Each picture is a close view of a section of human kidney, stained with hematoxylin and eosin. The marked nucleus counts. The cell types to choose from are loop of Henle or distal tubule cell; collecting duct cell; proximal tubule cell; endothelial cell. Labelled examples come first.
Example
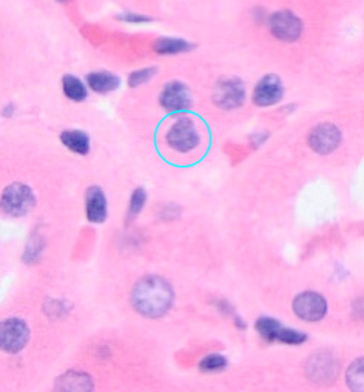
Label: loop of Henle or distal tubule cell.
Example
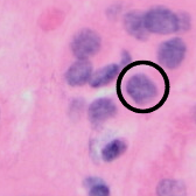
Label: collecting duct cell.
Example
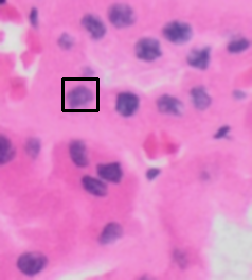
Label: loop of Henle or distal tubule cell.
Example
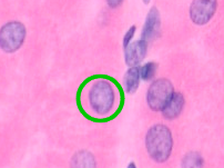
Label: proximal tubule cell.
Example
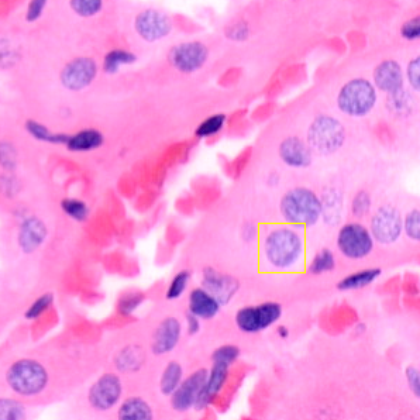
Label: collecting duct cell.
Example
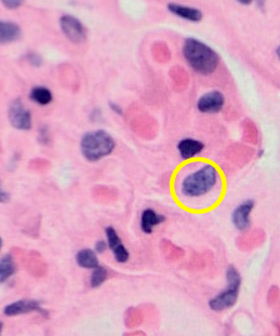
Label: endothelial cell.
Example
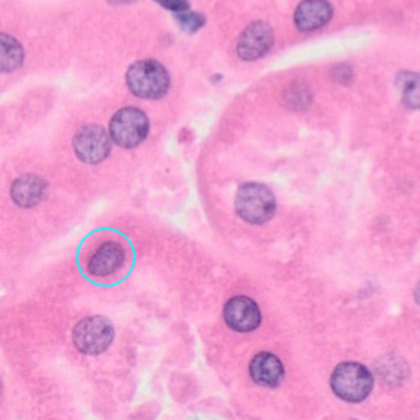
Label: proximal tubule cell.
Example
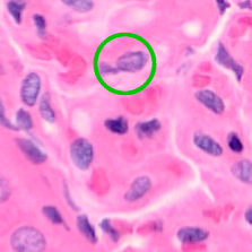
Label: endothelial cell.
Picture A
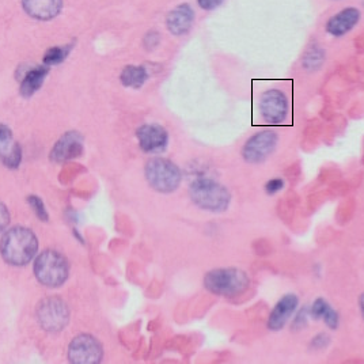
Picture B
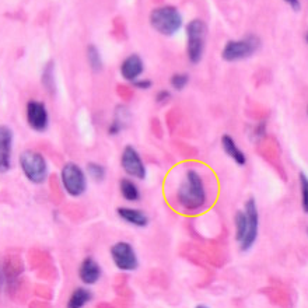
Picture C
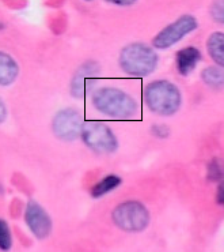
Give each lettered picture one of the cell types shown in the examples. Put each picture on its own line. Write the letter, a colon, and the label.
A: loop of Henle or distal tubule cell.
B: endothelial cell.
C: collecting duct cell.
